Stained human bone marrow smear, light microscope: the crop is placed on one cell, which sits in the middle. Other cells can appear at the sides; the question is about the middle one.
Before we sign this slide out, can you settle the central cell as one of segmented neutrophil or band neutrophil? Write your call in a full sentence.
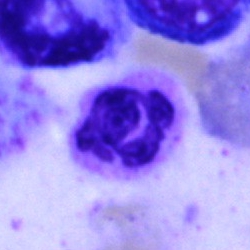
Regarding the central cell, it is a segmented neutrophil.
